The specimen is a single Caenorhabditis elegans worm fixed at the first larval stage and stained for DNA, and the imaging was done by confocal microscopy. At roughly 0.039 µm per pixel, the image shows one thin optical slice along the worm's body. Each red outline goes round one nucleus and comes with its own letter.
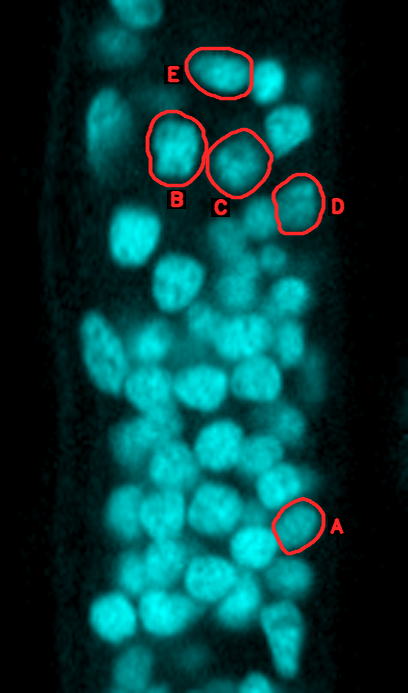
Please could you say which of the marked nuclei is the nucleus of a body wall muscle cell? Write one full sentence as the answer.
D is from a body wall muscle cell.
